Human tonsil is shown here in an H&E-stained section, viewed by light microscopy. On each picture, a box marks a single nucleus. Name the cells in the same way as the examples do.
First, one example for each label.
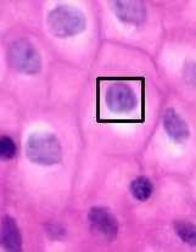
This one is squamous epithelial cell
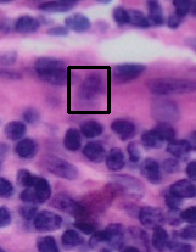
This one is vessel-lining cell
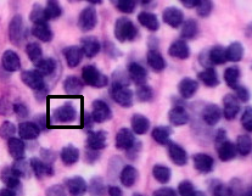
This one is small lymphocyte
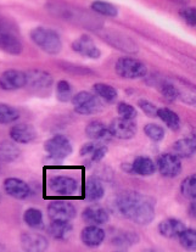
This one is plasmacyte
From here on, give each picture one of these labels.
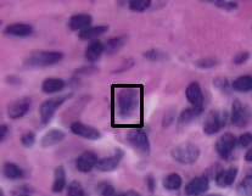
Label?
vessel-lining cell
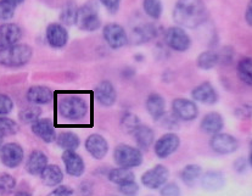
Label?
plasmacyte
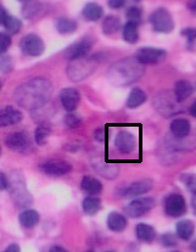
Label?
vessel-lining cell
